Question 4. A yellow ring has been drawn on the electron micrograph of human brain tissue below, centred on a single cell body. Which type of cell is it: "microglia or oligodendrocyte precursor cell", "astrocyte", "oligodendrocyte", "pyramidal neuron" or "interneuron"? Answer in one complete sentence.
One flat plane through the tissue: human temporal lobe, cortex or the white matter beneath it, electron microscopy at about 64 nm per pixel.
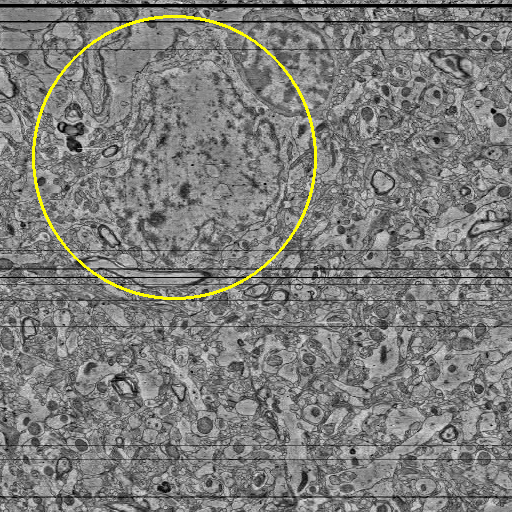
This cell body belongs to an interneuron.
